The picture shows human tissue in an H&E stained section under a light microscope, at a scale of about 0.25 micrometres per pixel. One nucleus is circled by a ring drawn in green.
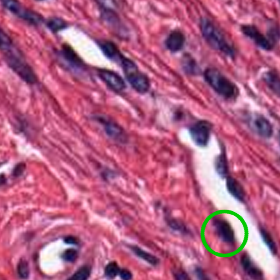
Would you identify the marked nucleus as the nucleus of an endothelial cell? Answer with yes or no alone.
yes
